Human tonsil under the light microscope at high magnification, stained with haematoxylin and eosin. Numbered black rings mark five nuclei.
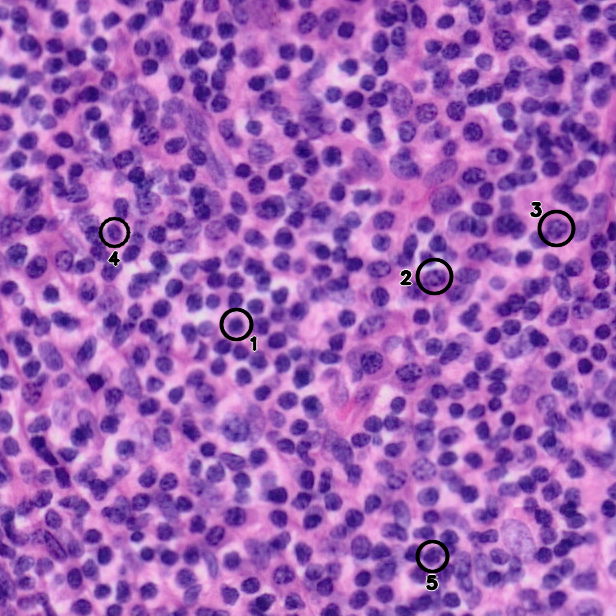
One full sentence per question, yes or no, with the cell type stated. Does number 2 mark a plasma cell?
Yes, that is correct: the cell numbered 2 is a plasma cell.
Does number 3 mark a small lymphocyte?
No, it's not a small lymphocyte at number 3; that cell is a plasma cell.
